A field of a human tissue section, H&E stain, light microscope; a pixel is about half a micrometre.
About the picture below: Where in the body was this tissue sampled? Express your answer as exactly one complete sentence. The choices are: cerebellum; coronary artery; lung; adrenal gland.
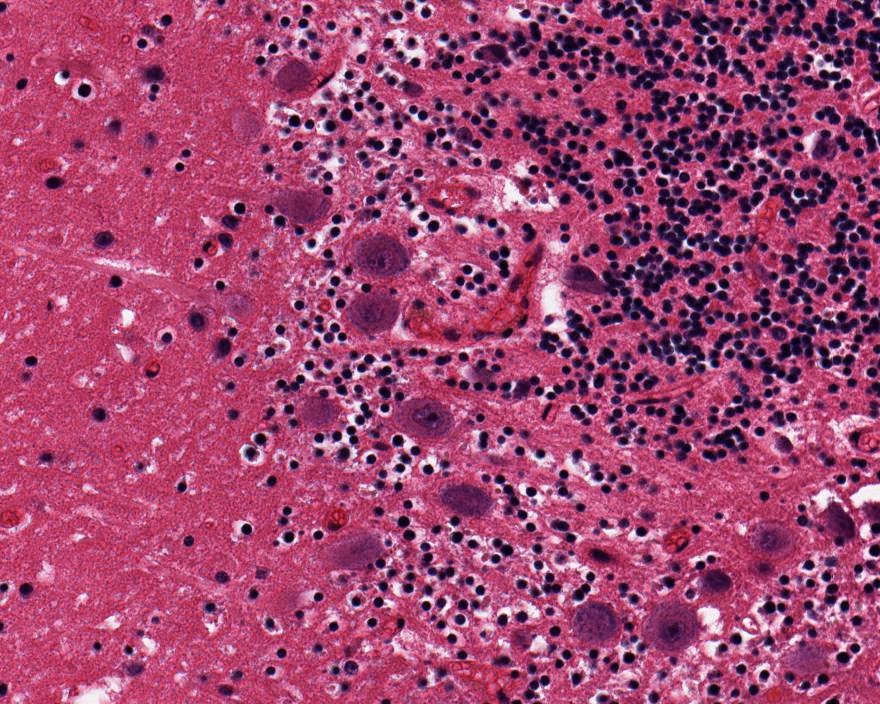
The section was prepared from tissue of the cerebellum.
